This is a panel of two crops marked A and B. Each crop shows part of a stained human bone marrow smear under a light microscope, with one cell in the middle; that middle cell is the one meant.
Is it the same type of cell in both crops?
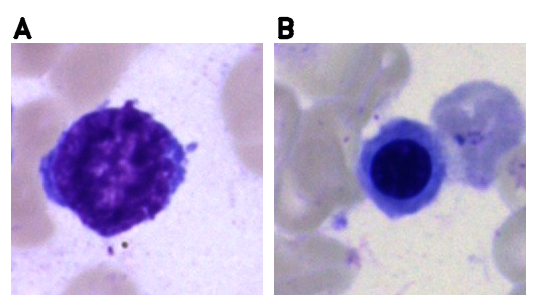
no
